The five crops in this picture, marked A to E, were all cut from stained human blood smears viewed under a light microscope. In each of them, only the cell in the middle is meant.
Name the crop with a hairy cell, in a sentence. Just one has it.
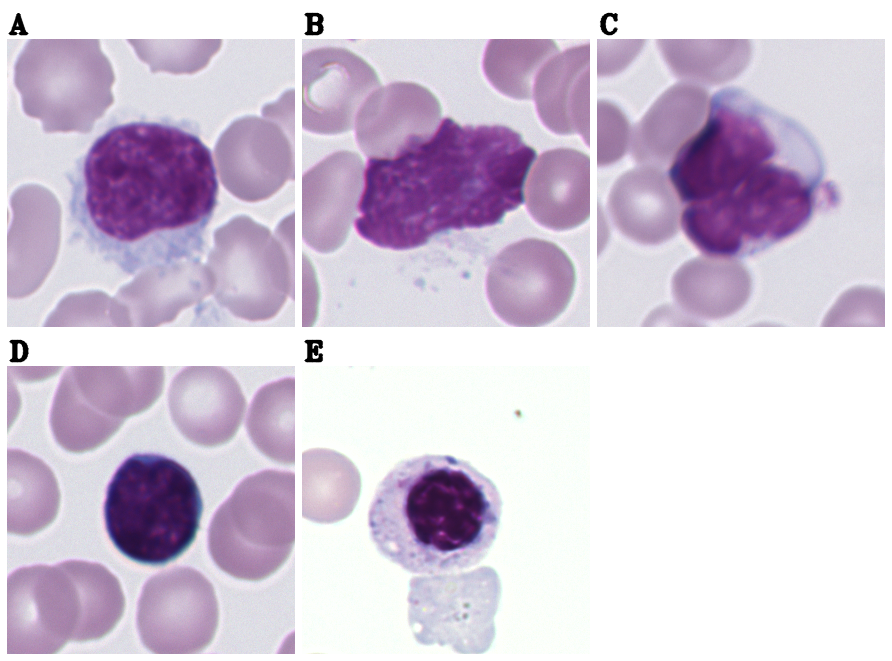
The one showing a hairy cell is the crop labelled A.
